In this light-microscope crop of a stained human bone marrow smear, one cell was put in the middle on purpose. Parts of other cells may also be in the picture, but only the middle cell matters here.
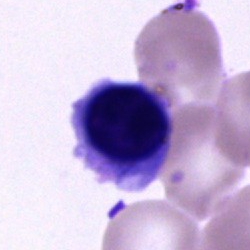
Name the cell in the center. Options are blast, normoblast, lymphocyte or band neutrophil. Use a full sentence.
The cell at the heart of this crop is a normoblast.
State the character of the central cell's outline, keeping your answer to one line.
Smoothness is lacking at the edge, which is ragged in places or drawn into projections.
